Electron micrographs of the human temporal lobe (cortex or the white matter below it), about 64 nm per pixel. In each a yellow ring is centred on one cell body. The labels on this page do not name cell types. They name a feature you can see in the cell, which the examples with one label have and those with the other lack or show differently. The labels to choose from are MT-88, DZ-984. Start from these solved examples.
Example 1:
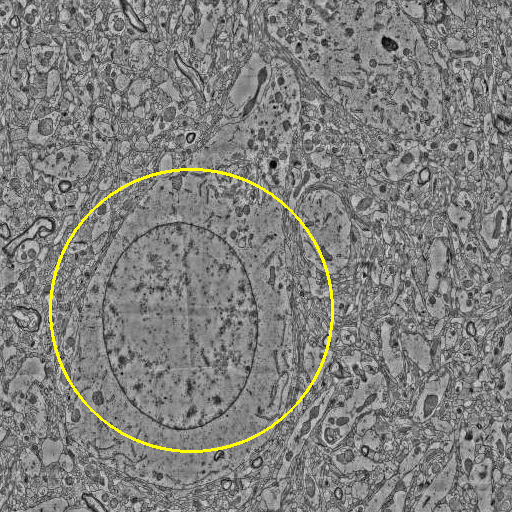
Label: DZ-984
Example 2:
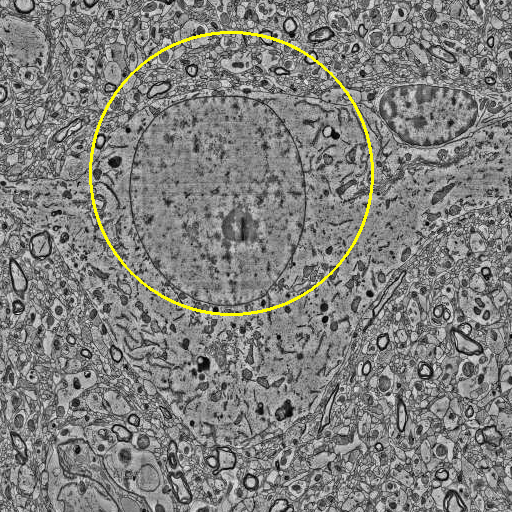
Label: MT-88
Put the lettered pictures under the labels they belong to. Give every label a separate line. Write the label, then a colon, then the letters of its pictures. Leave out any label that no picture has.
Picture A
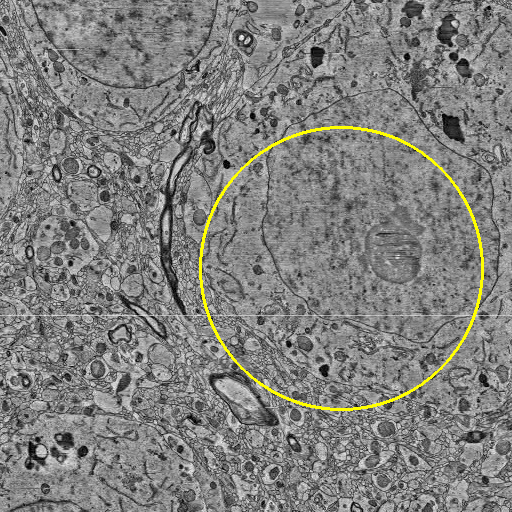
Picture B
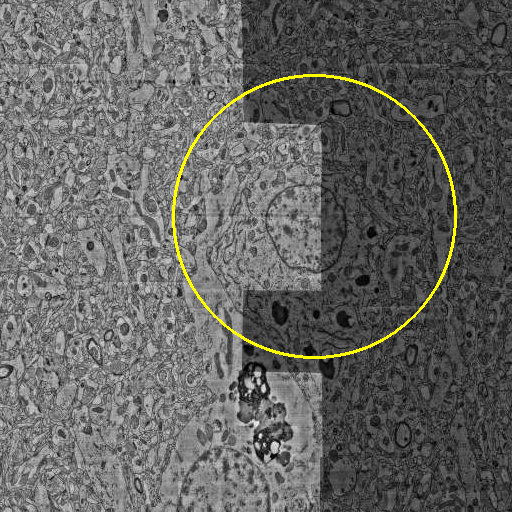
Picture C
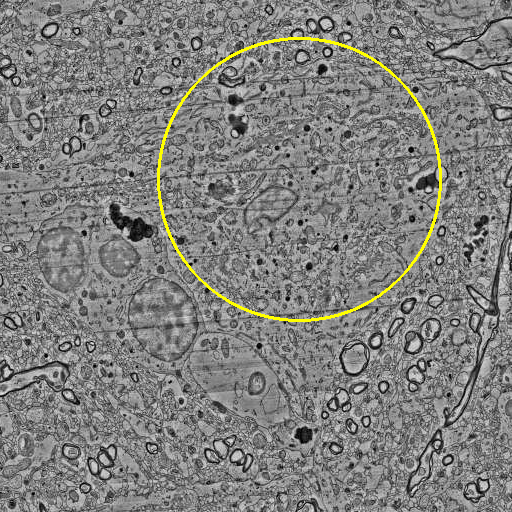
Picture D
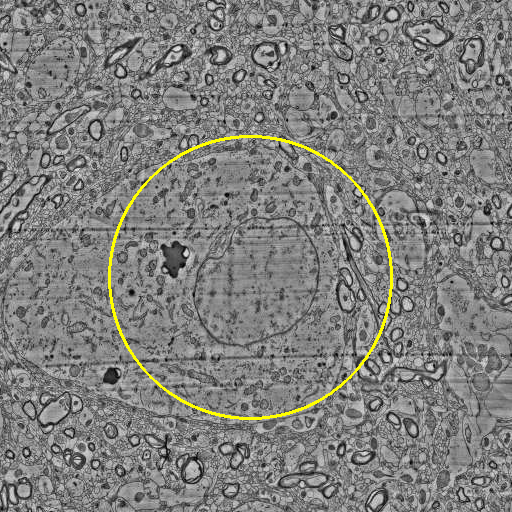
MT-88: A
DZ-984: B, C, D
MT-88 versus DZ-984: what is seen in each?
In MT-88: nucleolus seen. In DZ-984: no nucleolus seen.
